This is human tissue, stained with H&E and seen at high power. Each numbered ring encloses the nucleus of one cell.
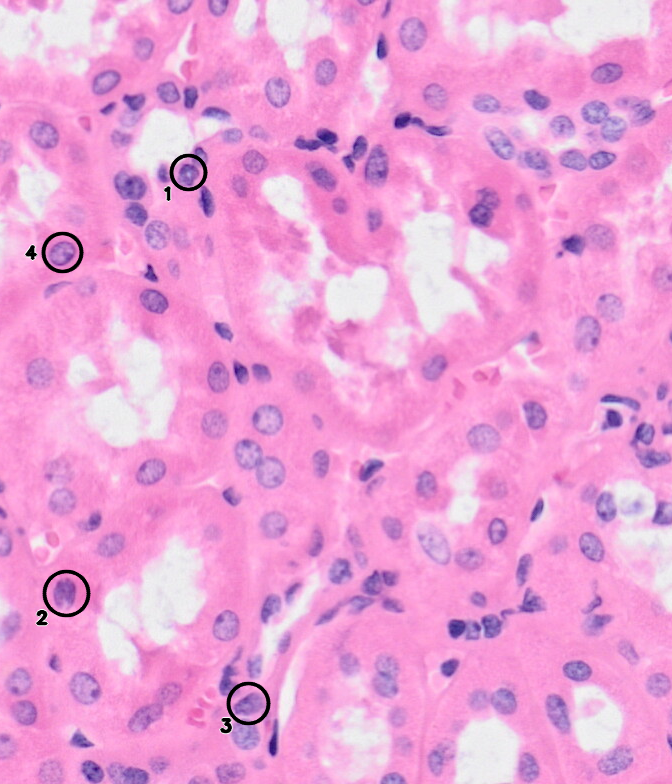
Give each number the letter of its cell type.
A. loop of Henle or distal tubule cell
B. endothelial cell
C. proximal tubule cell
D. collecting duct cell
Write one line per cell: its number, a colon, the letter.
1: D
2: C
3: D
4: C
